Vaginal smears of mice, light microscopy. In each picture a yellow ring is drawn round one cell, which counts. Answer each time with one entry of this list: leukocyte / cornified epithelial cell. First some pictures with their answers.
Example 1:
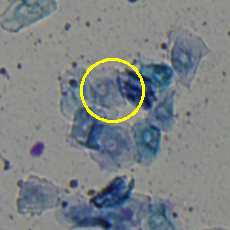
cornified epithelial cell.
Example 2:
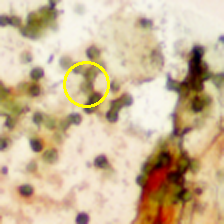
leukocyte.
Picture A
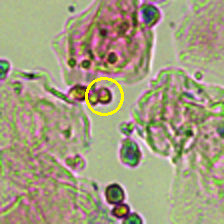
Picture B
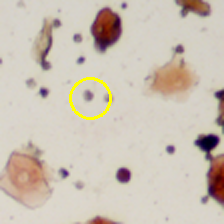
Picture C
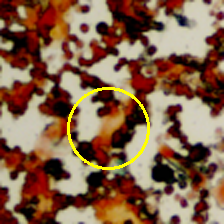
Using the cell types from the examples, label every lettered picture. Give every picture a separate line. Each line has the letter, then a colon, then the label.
A: leukocyte.
B: leukocyte.
C: cornified epithelial cell.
